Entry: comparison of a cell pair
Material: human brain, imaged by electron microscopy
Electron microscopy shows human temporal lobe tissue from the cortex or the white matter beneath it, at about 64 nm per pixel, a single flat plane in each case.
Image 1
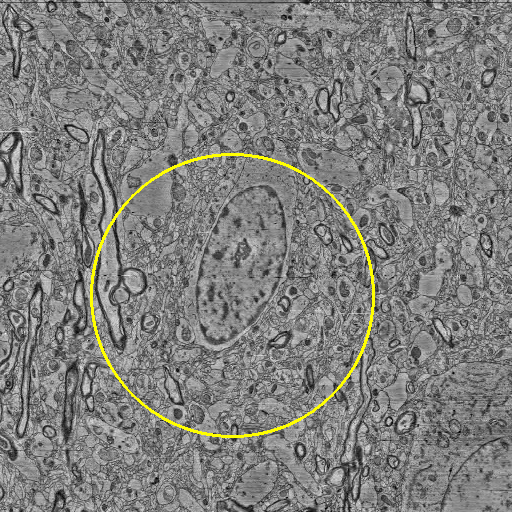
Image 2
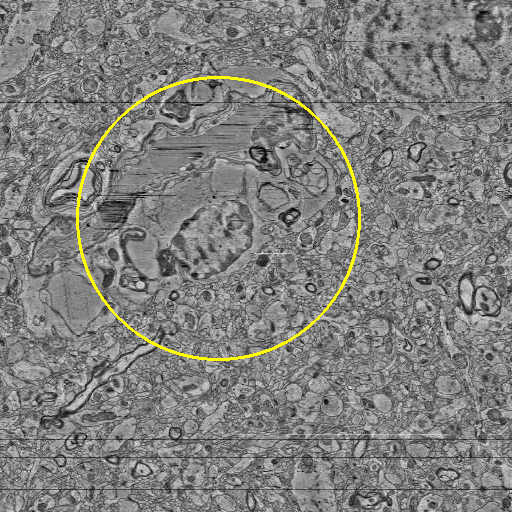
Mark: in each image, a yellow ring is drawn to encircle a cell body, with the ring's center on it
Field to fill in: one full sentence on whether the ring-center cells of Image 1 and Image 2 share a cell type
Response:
Yes, Image 1 and Image 2 each show a ring-center cell of one shared type.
